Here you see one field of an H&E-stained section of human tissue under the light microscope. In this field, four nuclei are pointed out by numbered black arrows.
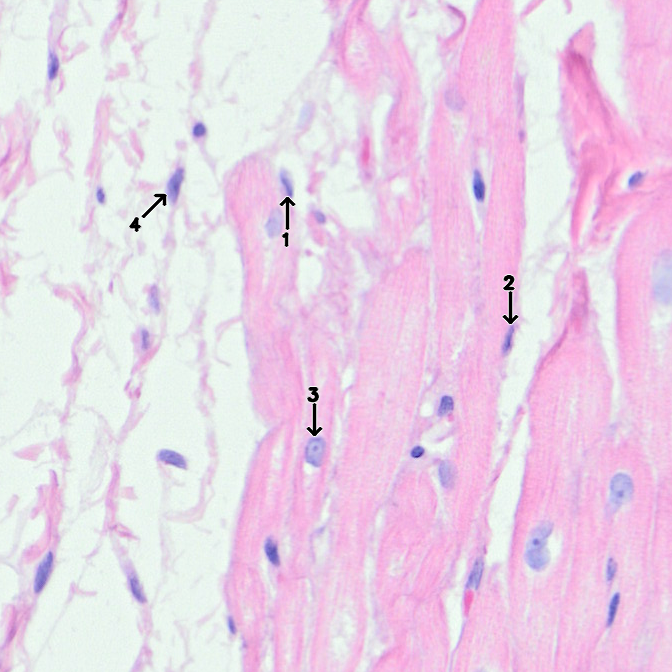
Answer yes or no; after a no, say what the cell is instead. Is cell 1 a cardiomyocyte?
No, it is a fibroblast.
